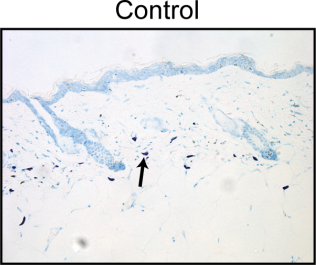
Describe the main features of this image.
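Section of skin with scattered mast cells in the dermis. A thin pale blue epidermis runs across the top of the field. Below it, loose and pale dermal connective tissue contains sparse small, elongated or oval cells stained dark purple, spread widely rather than clustered; an arrow marks one near a hair follicle. Obliquely cut hair follicles extend down from the surface into the dermis. Large parts of the lower field are pale and nearly empty of stained cells.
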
